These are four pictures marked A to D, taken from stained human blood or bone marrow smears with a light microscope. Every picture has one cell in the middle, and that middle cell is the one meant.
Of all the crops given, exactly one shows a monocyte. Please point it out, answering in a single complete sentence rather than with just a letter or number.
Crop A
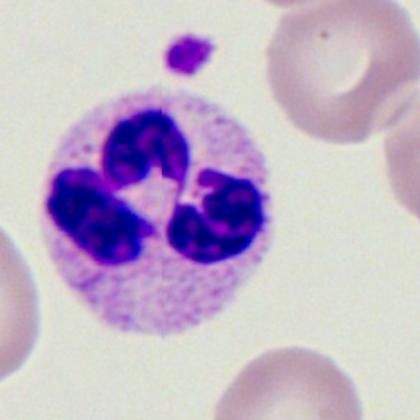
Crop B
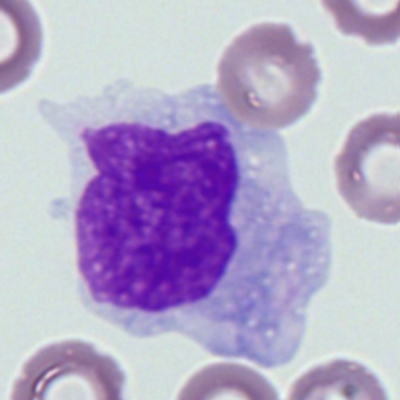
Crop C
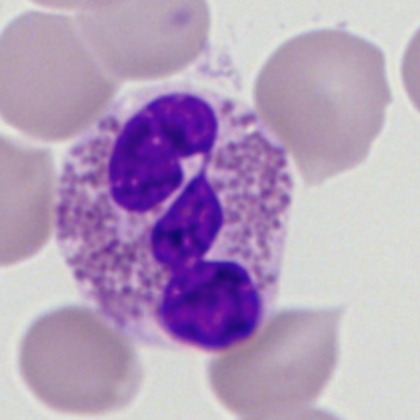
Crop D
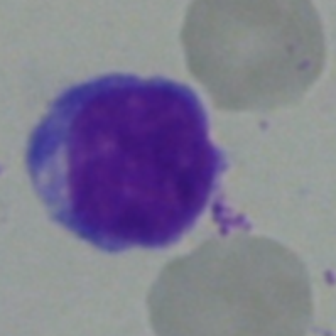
Of the crops shown, crop B depicts a monocyte.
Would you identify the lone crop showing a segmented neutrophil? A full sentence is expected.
Crop A is the one to choose: it shows a segmented neutrophil.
